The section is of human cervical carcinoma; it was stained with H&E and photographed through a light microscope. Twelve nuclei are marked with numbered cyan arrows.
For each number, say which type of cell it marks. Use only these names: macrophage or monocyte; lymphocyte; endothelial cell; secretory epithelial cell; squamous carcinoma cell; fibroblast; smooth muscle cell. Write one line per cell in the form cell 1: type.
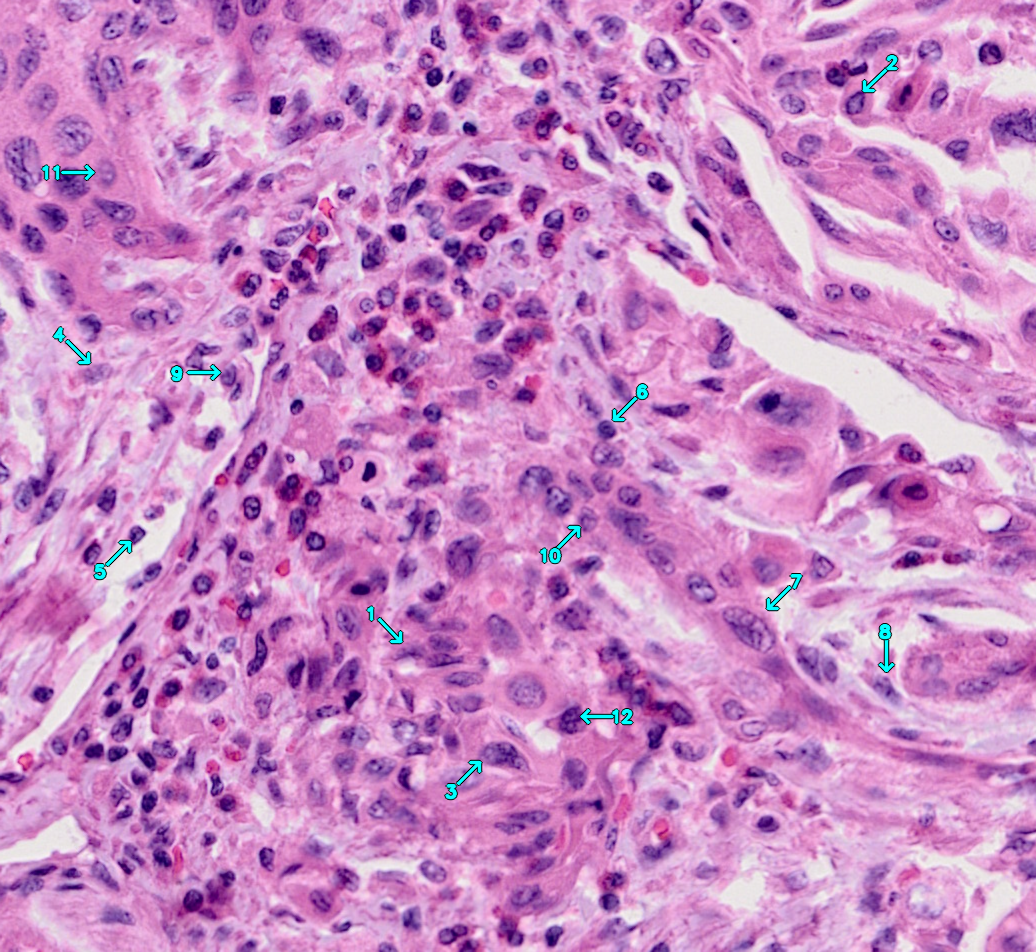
cell 1: squamous carcinoma cell
cell 2: squamous carcinoma cell
cell 3: squamous carcinoma cell
cell 4: fibroblast
cell 5: lymphocyte
cell 6: lymphocyte
cell 7: squamous carcinoma cell
cell 8: fibroblast
cell 9: macrophage or monocyte
cell 10: squamous carcinoma cell
cell 11: squamous carcinoma cell
cell 12: squamous carcinoma cell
